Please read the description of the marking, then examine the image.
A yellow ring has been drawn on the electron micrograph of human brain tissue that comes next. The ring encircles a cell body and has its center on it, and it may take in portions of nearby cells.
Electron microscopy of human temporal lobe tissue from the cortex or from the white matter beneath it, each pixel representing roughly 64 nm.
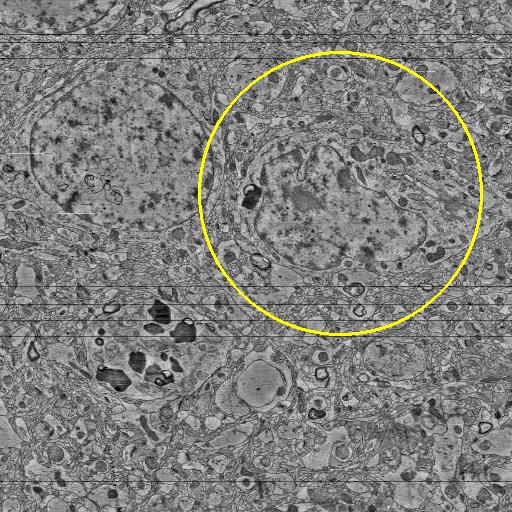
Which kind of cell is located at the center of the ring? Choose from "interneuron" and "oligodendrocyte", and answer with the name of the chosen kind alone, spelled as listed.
interneuron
